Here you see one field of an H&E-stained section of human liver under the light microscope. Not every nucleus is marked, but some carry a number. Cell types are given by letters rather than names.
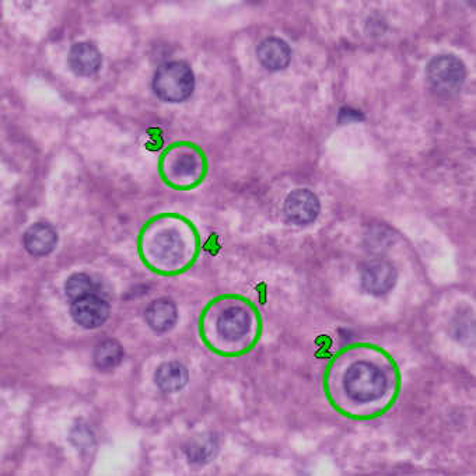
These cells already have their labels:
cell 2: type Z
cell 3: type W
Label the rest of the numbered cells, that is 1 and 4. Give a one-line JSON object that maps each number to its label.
{"1": "type Z", "4": "type Z"}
